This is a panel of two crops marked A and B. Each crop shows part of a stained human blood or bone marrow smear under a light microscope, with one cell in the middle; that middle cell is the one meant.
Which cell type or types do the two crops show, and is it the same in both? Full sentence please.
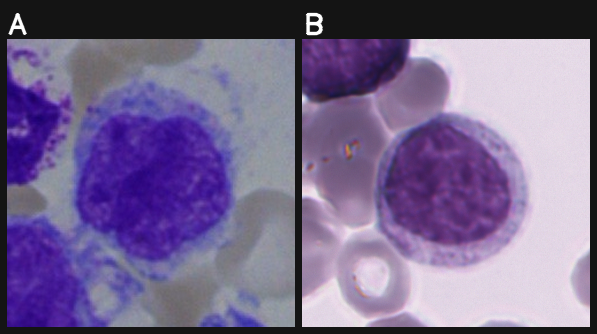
No, look again: crop A shows a monocyte, and crop B shows a myelocyte.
